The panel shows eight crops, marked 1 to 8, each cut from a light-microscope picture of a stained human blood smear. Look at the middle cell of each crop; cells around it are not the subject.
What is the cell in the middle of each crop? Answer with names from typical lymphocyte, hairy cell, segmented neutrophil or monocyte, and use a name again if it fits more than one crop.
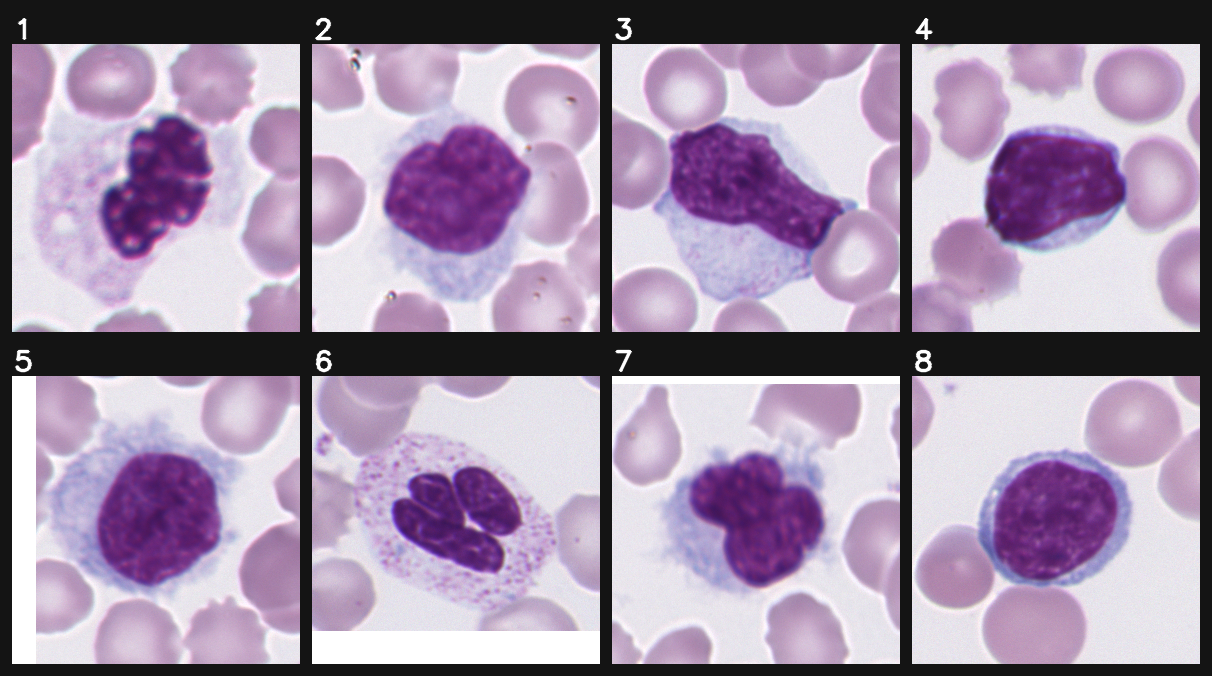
1: segmented neutrophil
2: hairy cell
3: monocyte
4: typical lymphocyte
5: hairy cell
6: segmented neutrophil
7: hairy cell
8: typical lymphocyte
